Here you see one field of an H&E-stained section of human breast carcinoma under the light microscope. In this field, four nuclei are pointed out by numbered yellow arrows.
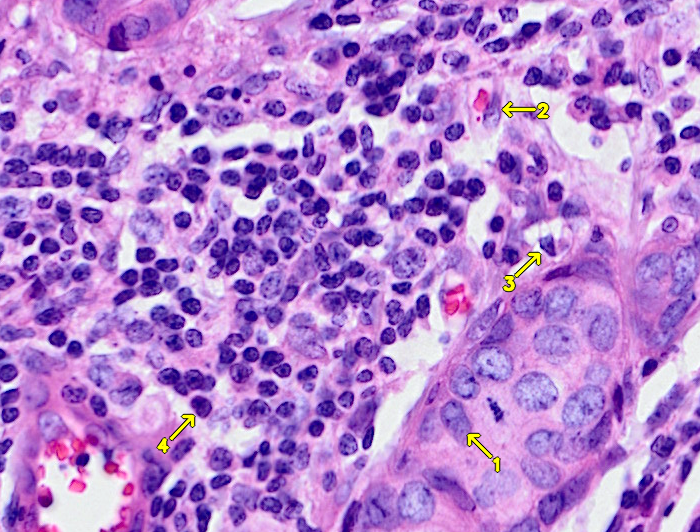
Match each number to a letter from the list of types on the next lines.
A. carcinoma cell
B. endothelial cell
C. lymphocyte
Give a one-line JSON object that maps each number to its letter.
{"1": "A", "2": "B", "3": "C", "4": "C"}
